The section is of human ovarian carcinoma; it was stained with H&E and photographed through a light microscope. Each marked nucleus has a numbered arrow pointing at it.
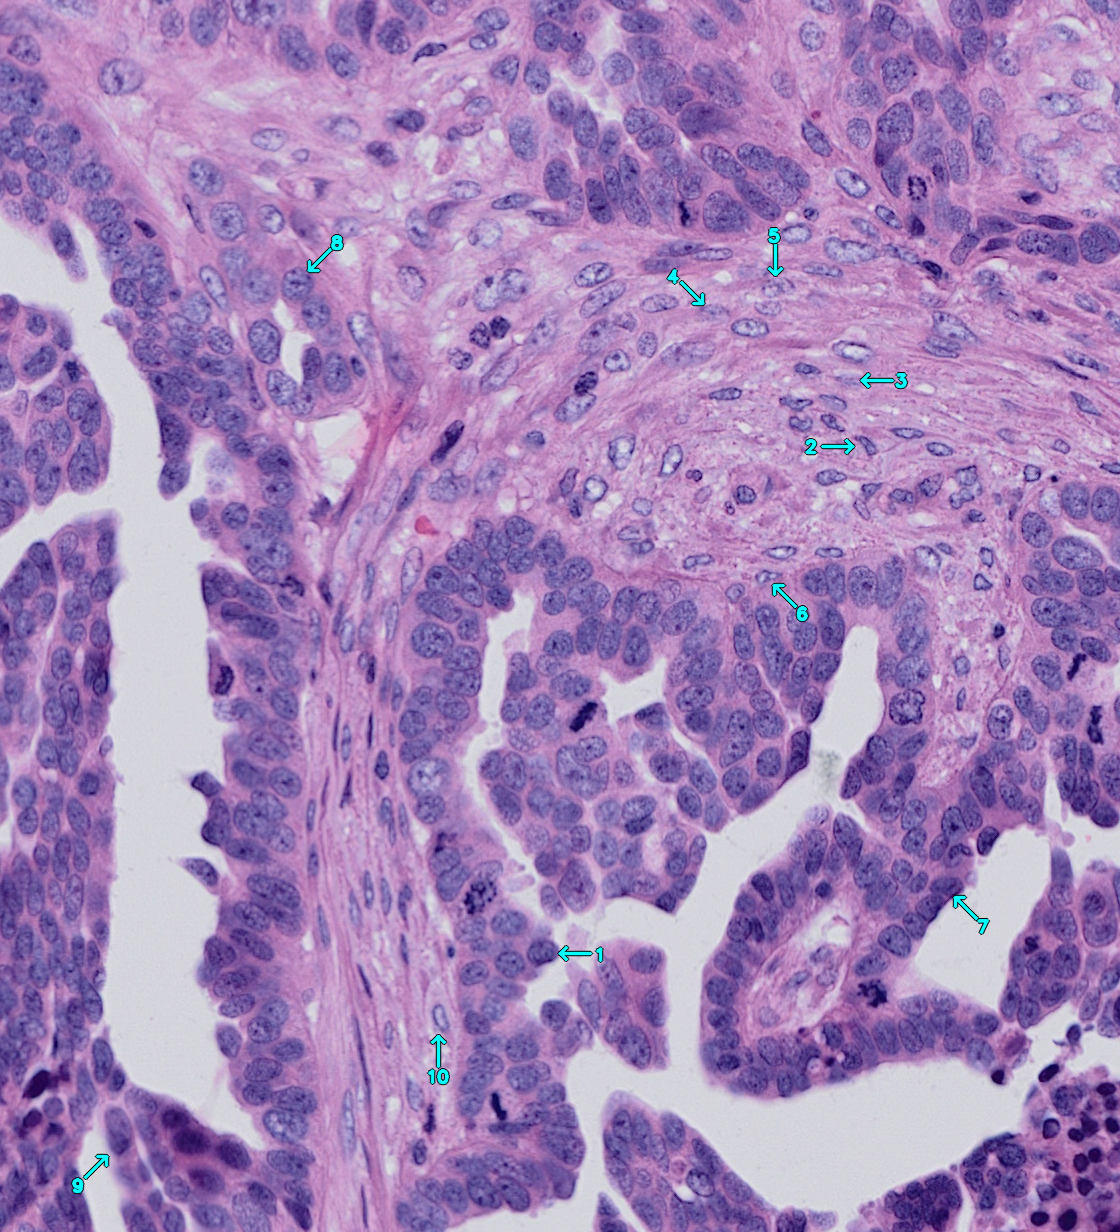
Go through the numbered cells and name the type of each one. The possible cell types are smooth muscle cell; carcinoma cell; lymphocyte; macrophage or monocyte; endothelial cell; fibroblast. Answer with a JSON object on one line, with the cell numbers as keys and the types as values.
{"1": "carcinoma cell", "2": "fibroblast", "3": "fibroblast", "4": "fibroblast", "5": "fibroblast", "6": "fibroblast", "7": "carcinoma cell", "8": "carcinoma cell", "9": "carcinoma cell", "10": "fibroblast"}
